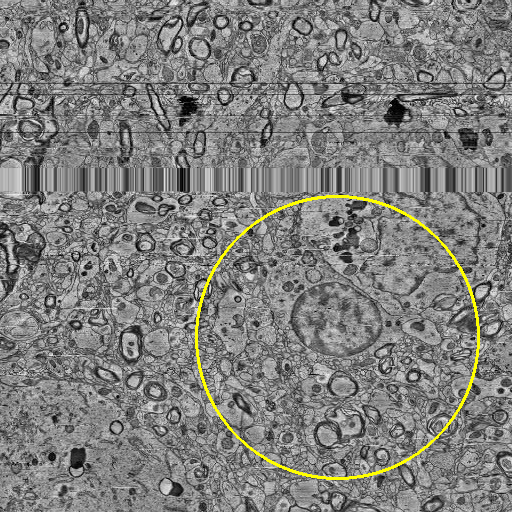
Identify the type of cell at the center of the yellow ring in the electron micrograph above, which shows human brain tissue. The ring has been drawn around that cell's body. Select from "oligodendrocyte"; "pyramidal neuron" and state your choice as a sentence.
The yellow ring is centered on the body of an oligodendrocyte.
